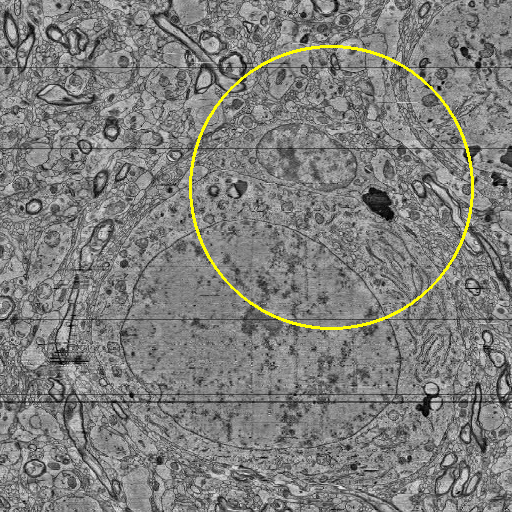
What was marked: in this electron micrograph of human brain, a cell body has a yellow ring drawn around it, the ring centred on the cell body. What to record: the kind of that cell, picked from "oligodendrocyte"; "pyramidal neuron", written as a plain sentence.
The centred cell is an oligodendrocyte.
